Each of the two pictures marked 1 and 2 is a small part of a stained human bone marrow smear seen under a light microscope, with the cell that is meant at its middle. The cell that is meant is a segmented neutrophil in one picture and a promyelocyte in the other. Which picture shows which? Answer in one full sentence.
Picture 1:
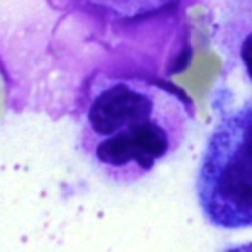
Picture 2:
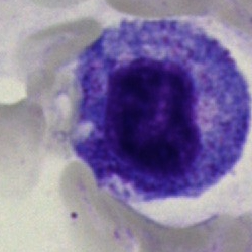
The cell in picture 1 is a segmented neutrophil, and the one in picture 2 is a promyelocyte.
